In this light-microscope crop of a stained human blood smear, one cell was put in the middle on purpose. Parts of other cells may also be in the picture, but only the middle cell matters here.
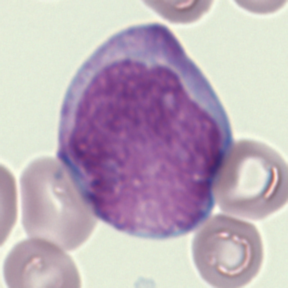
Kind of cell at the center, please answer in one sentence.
In the central position of this crop, the cell is an atypical promyelocyte.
